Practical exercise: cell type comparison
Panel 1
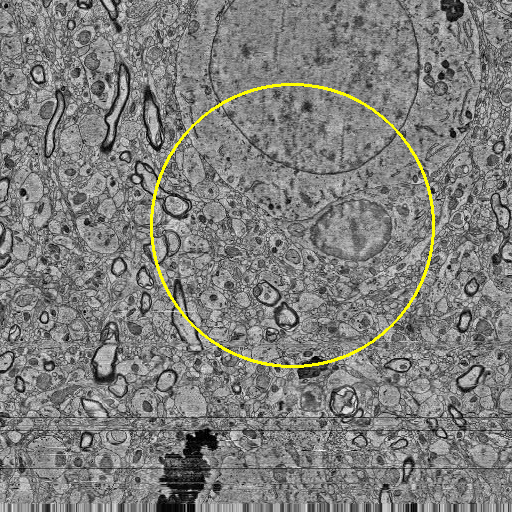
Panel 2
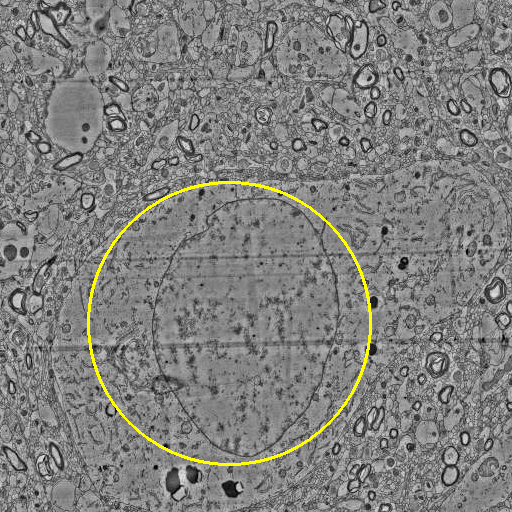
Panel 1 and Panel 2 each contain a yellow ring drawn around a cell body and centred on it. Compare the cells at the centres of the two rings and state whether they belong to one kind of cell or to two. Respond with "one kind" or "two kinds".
two kinds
